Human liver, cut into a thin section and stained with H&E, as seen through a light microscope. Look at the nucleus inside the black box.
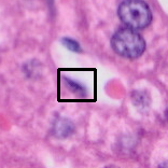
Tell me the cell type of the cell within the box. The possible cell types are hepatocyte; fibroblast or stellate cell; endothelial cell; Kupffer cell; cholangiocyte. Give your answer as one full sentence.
In this tissue section, the cell within the box is to be classed as an endothelial cell.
